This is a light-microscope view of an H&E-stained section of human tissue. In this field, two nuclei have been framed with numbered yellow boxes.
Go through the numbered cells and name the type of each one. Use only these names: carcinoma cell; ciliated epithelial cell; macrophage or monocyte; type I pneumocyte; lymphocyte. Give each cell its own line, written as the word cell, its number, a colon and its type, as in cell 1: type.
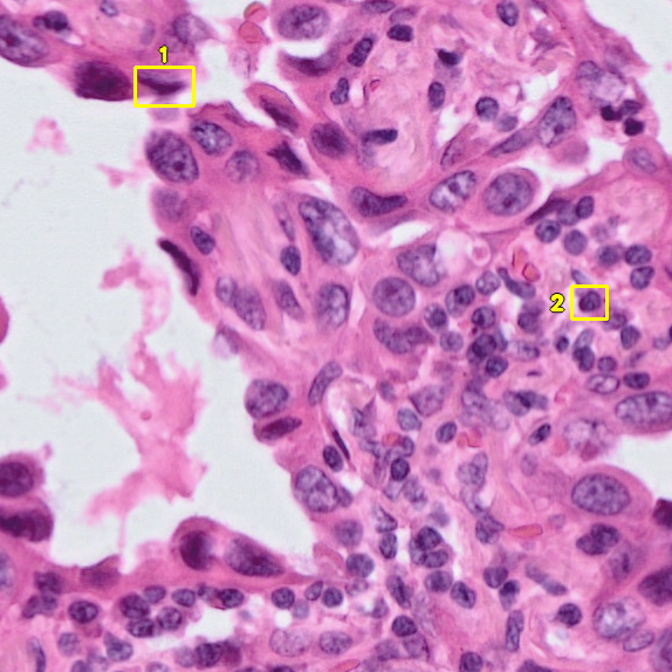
cell 1: carcinoma cell
cell 2: lymphocyte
